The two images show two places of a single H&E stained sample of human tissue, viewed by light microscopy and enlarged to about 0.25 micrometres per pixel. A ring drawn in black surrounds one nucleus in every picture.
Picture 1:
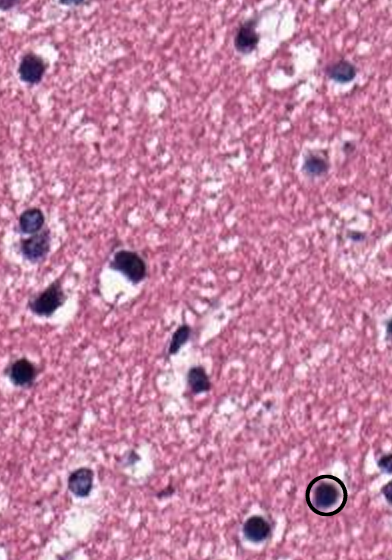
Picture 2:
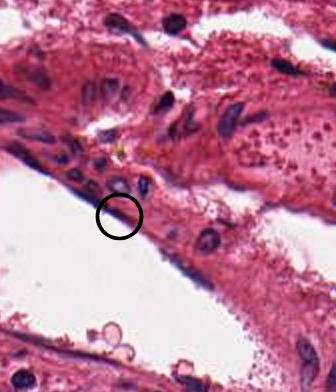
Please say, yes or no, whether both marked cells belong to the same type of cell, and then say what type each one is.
No, the first is an oligodendrocyte and the second an endothelial cell.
